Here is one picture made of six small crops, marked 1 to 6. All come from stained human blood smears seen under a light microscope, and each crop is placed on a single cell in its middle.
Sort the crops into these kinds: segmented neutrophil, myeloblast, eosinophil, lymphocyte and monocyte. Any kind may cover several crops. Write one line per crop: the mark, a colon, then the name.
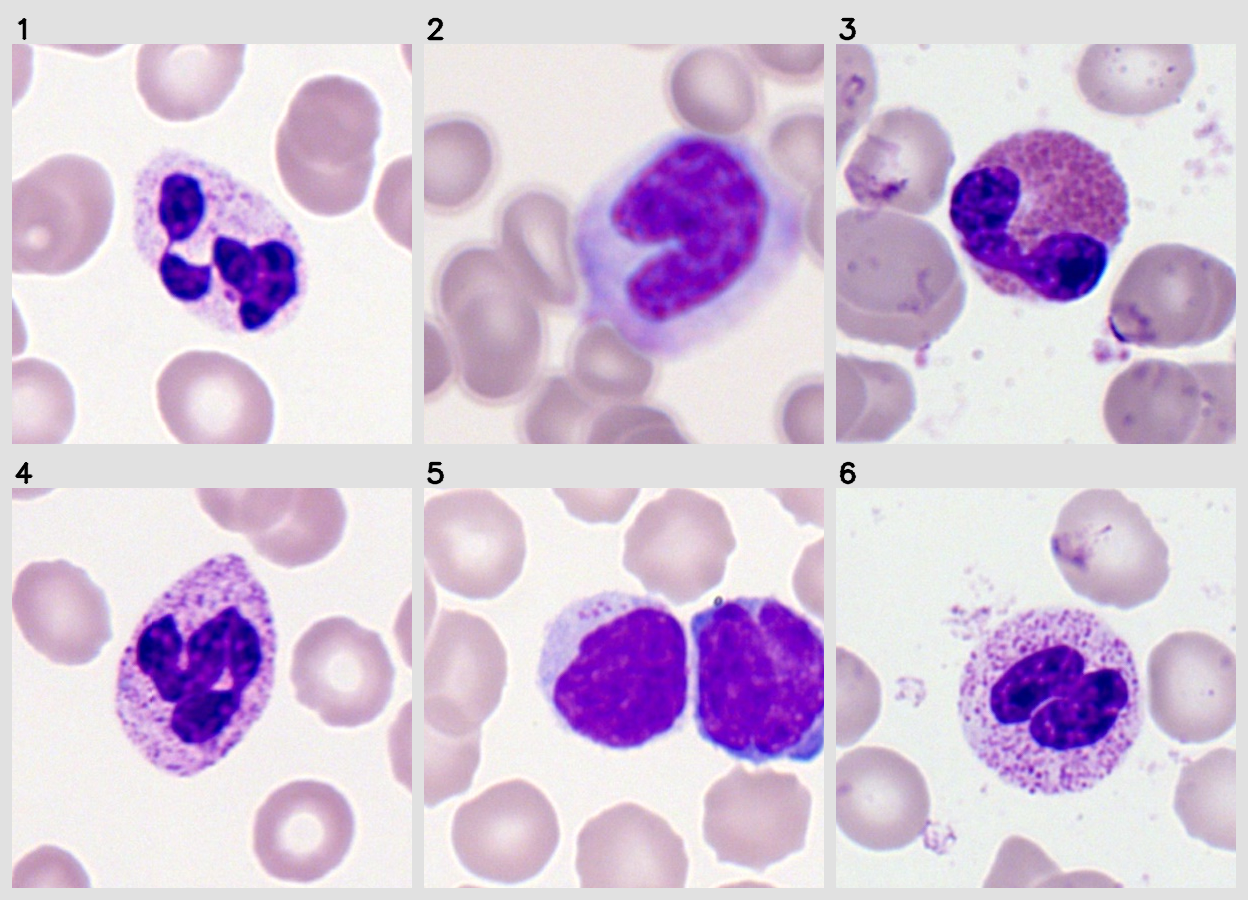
1: segmented neutrophil
2: monocyte
3: eosinophil
4: segmented neutrophil
5: lymphocyte
6: segmented neutrophil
